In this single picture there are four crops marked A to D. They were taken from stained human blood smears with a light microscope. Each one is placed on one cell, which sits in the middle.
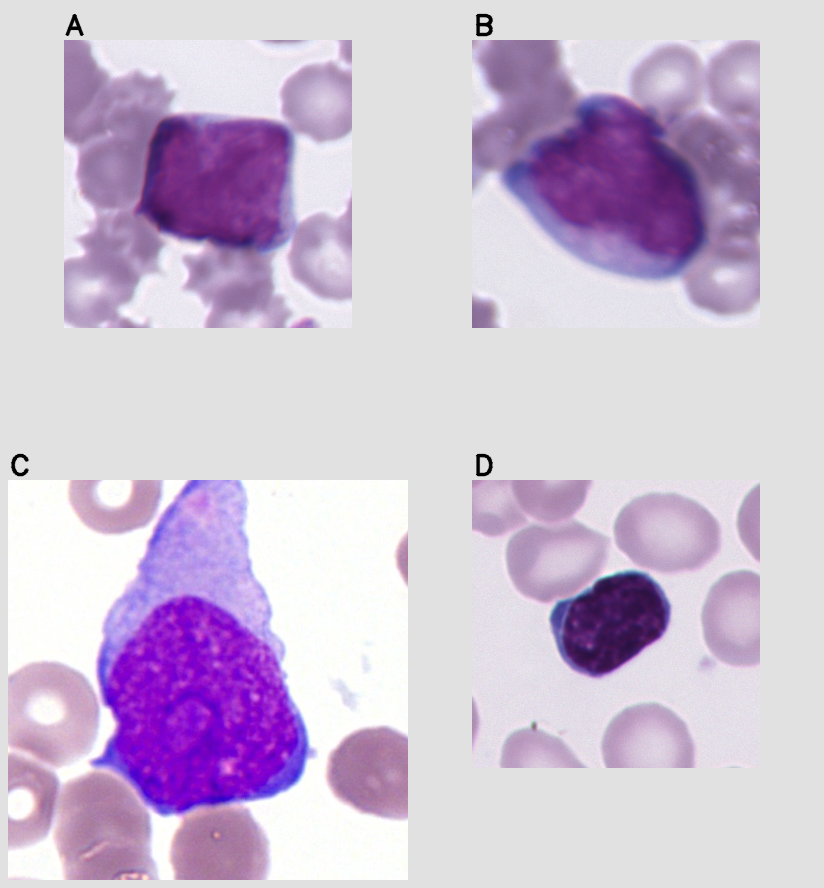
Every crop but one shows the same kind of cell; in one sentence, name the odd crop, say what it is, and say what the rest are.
While crop D shows a lymphocyte, the other crops all show blasts.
